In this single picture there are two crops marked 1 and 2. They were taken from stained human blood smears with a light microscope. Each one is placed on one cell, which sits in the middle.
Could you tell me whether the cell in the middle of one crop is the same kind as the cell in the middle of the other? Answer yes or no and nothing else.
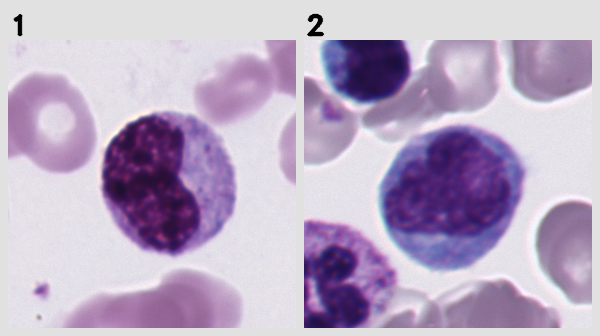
yes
